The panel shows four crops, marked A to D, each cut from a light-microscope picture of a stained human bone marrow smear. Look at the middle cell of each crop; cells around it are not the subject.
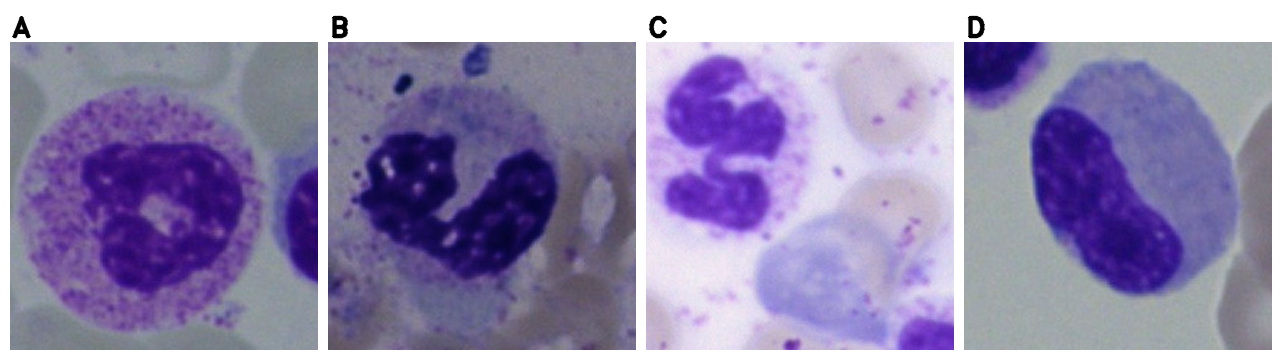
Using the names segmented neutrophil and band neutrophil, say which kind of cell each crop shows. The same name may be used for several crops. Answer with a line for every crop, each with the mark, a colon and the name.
A: segmented neutrophil
B: segmented neutrophil
C: segmented neutrophil
D: band neutrophil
